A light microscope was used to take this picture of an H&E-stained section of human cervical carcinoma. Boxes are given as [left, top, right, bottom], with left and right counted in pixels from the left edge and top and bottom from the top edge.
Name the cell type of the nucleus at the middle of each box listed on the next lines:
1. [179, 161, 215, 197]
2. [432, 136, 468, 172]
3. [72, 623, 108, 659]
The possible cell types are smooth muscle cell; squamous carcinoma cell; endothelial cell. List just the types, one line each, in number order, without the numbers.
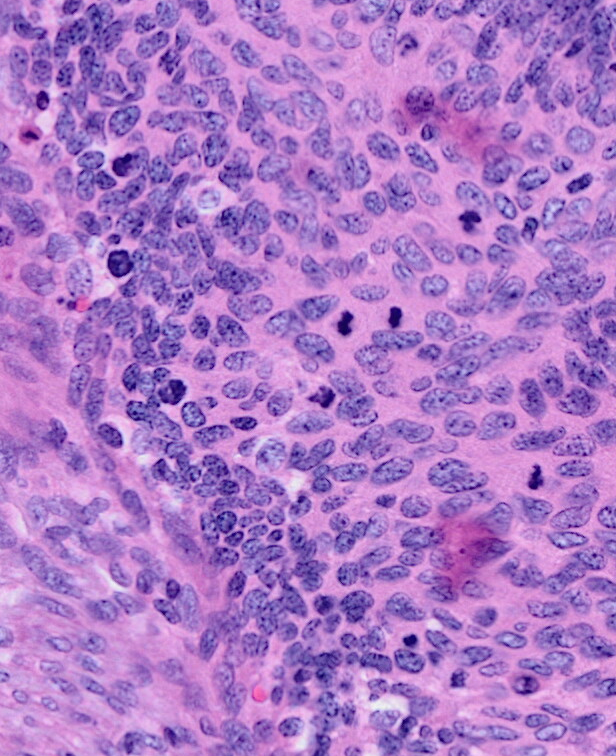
squamous carcinoma cell
squamous carcinoma cell
smooth muscle cell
